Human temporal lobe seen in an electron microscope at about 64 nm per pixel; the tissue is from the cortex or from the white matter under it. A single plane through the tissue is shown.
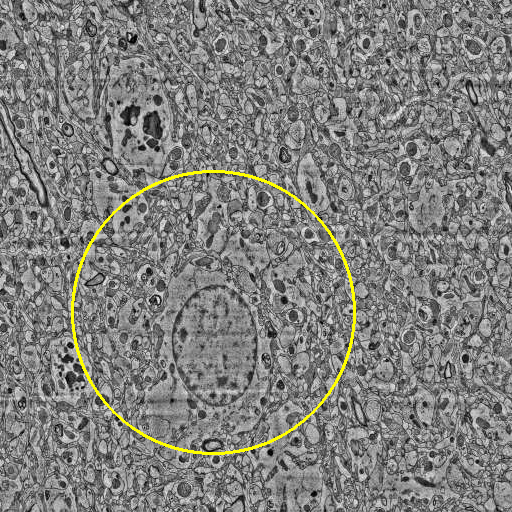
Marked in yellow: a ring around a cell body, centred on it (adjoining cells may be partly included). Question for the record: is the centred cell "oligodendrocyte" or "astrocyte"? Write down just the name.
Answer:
astrocyte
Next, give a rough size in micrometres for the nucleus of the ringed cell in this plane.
In this plane, approximately 8 by 5 micrometers.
